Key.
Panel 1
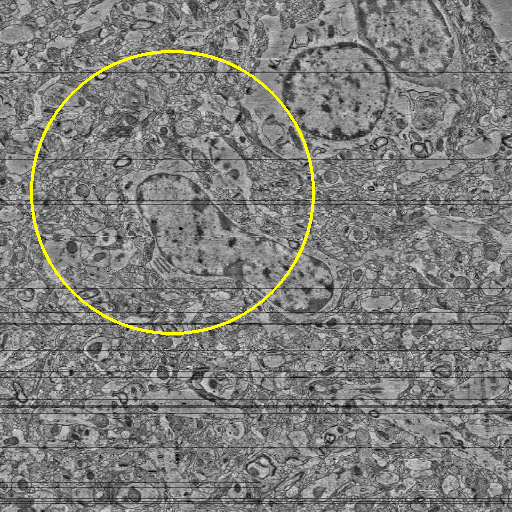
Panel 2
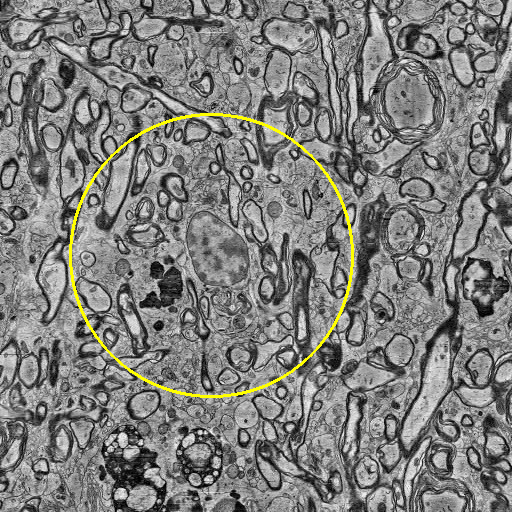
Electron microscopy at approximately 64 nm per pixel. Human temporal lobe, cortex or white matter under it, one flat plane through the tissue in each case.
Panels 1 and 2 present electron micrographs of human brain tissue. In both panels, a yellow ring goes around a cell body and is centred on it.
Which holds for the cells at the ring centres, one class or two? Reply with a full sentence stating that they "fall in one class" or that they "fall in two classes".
Taken together, the ring-centre cells of the two panels fall in one class.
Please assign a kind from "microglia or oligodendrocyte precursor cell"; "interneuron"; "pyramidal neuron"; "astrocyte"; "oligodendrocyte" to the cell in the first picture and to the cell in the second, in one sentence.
Both pictures show a microglial cell or oligodendrocyte precursor cell at the centre of the ring.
